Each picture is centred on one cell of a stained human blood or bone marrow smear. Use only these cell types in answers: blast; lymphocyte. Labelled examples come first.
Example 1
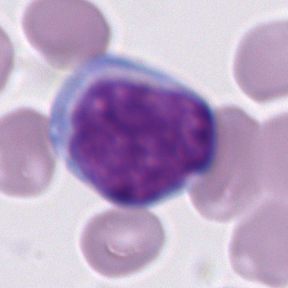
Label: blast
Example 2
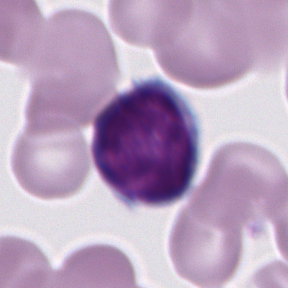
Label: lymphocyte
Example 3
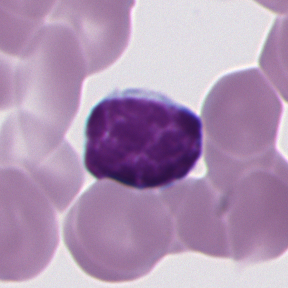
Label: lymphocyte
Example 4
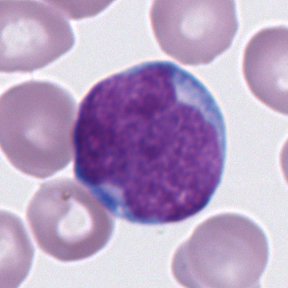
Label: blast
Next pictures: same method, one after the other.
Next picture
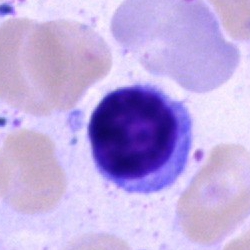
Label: lymphocyte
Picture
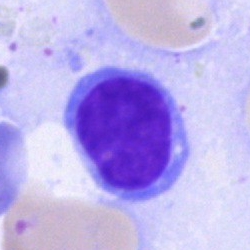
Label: lymphocyte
